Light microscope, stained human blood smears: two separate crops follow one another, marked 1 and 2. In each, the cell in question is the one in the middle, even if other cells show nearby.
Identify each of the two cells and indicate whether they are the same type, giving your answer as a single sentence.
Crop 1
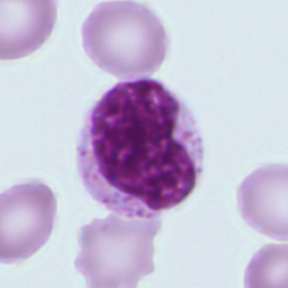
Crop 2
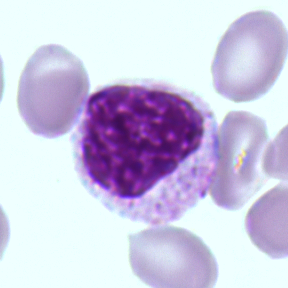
Yes, they do, both crops show metamyelocytes.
